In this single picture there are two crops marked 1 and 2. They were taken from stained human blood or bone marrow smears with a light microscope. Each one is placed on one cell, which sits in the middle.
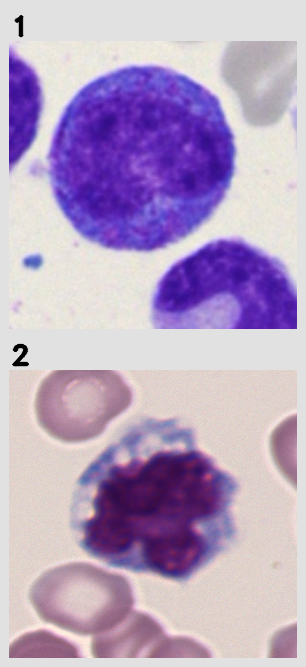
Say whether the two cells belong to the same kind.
no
